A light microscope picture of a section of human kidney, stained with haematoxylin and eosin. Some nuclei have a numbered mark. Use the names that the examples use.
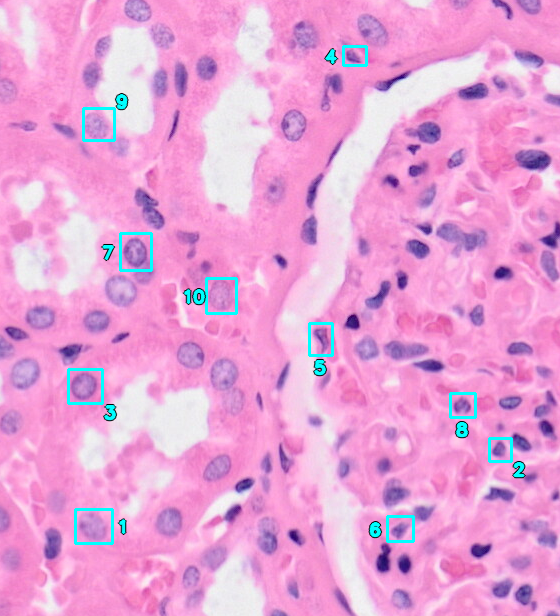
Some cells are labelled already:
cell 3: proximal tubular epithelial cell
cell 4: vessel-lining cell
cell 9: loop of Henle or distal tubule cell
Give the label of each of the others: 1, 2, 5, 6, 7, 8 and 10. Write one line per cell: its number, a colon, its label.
1: proximal tubular epithelial cell
2: vessel-lining cell
5: vessel-lining cell
6: vessel-lining cell
7: proximal tubular epithelial cell
8: vessel-lining cell
10: proximal tubular epithelial cell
